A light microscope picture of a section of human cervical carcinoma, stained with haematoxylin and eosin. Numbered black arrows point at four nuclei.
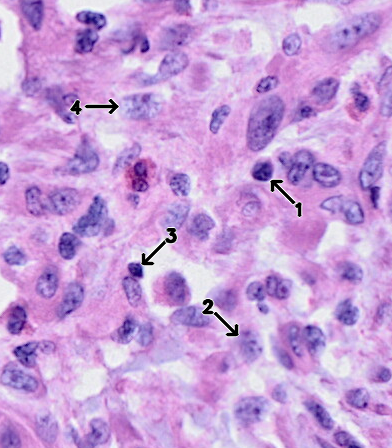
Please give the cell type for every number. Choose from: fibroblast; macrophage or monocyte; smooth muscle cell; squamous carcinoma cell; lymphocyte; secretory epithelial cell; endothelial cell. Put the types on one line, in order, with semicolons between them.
lymphocyte; fibroblast; lymphocyte; fibroblast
